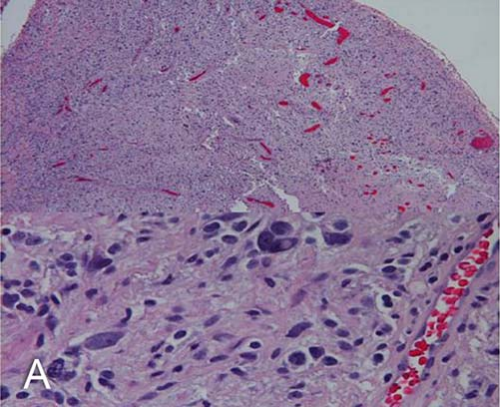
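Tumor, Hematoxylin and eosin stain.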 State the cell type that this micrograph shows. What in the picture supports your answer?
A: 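In the high-power lower half, a large cell near the center holds several clustered dark nuclei. This cell is much larger than the surrounding cells.
Answer: multinucleated giant cells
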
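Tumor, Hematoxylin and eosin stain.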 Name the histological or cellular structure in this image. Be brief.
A: fibrillary background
